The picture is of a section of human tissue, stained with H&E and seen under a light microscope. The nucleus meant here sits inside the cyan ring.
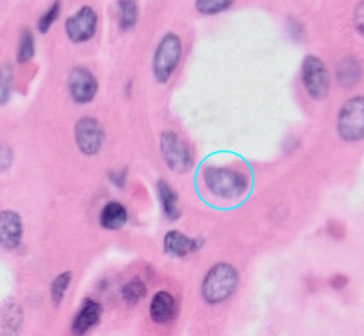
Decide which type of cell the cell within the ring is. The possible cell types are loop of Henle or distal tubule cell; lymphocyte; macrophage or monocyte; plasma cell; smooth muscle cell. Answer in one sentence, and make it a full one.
Labelled by cell type, the cell within the ring is a loop of Henle or distal tubule cell.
